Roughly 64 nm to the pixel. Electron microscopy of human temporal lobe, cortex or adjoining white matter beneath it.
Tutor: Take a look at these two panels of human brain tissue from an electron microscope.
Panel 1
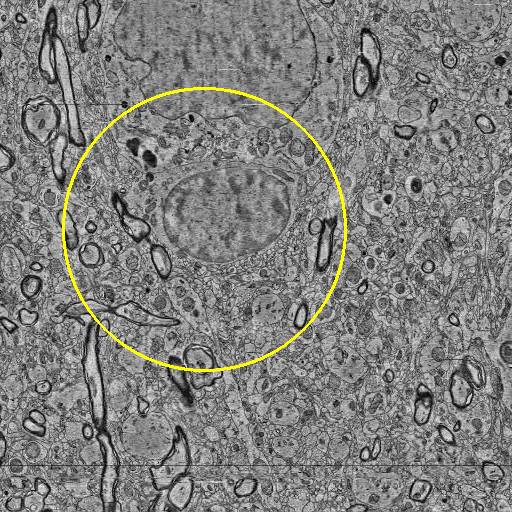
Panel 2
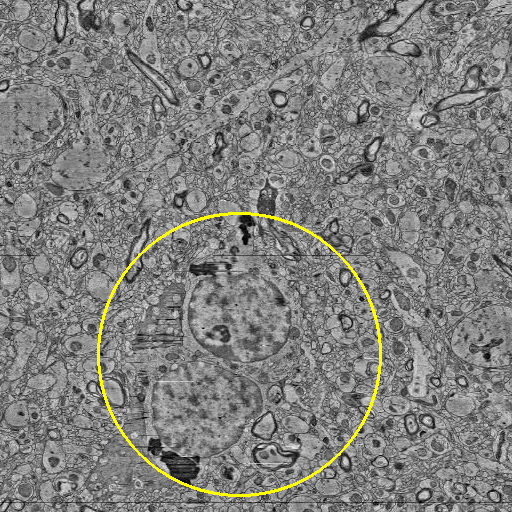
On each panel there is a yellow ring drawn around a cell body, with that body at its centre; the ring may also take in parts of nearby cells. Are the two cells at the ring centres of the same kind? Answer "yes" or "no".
yes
